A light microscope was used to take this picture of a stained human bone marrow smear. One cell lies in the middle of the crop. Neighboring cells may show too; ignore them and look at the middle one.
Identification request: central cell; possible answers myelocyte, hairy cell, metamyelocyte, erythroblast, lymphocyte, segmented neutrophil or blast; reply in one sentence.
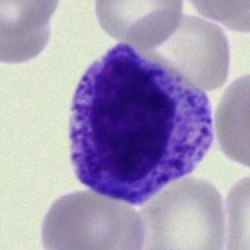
The central element of this crop is a cell, namely a myelocyte.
